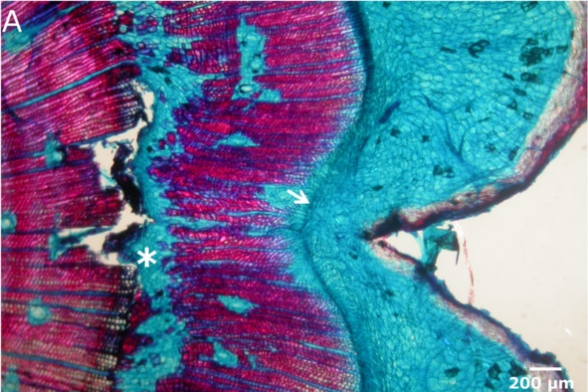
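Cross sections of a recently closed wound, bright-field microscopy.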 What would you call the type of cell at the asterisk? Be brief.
Parenchymatous cells.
